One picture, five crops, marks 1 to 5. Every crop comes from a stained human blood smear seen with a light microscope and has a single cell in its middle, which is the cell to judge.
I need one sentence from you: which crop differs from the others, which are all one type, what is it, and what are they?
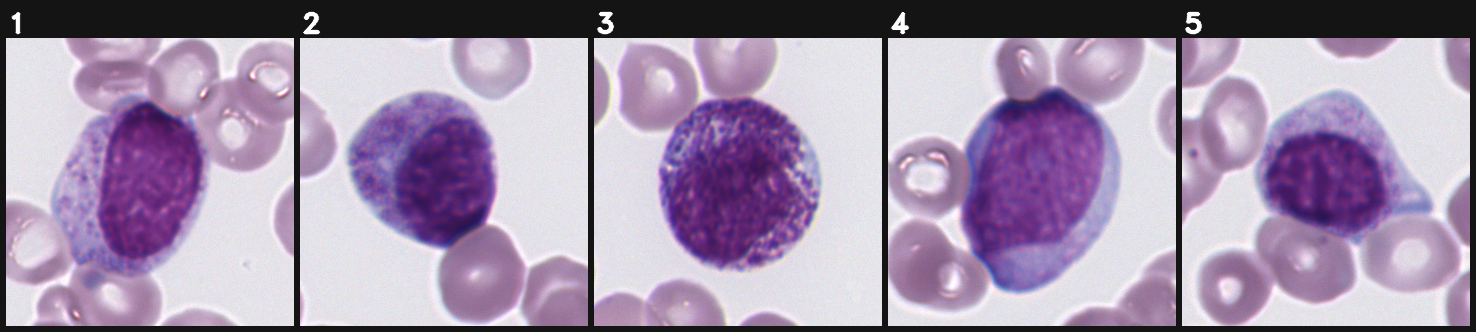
The others are all myelocytes; crop 4 is an atypical promyelocyte.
